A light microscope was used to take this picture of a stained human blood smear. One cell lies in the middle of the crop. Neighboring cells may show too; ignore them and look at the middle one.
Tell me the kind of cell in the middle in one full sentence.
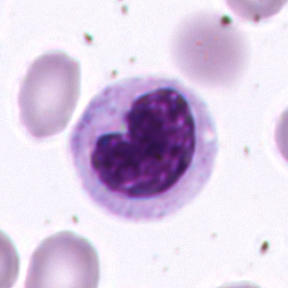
Framed in the middle of the crop is a band neutrophil.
